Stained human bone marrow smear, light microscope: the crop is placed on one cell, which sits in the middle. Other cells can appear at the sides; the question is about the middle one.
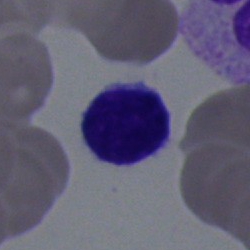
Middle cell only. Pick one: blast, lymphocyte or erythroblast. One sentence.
The cell at the middle of the frame should be recorded as a lymphocyte.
